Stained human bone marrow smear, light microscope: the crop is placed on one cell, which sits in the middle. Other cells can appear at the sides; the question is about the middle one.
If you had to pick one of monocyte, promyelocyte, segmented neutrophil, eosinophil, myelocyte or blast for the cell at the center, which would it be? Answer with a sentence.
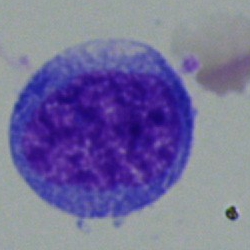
By classification, the middle cell of this crop is a blast.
